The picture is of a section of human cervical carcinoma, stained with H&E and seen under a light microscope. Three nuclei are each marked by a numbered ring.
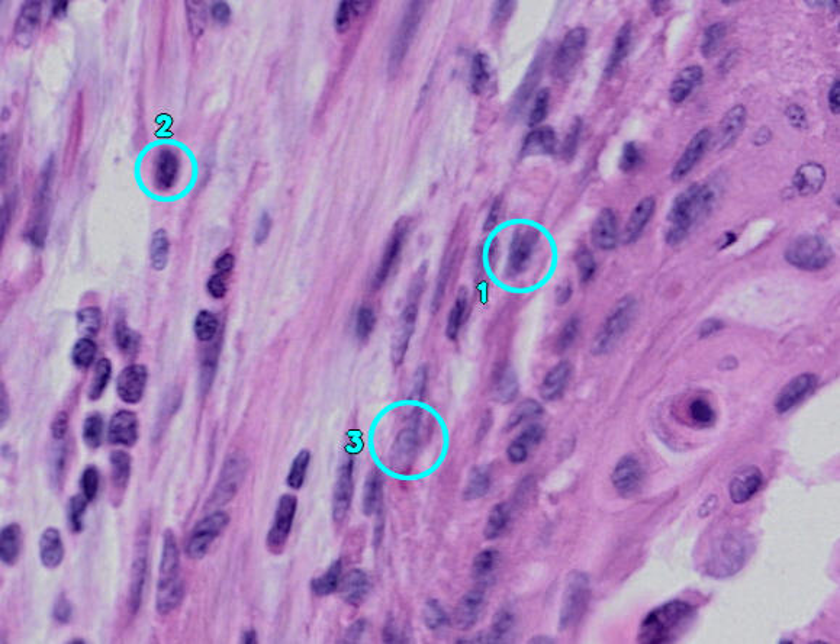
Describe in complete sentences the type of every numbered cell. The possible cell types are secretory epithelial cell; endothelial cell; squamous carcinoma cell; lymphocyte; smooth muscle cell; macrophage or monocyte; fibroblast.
Cell 1 is a fibroblast. Cell 2 is a lymphocyte. Cell 3 is an endothelial cell.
